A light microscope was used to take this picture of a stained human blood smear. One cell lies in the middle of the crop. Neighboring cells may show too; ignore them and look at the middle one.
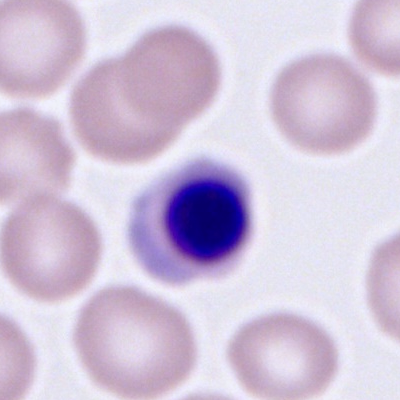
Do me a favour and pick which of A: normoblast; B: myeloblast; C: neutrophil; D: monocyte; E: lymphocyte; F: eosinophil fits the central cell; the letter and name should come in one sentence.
The middle cell of the crop is a normoblast; accordingly, option A is correct.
